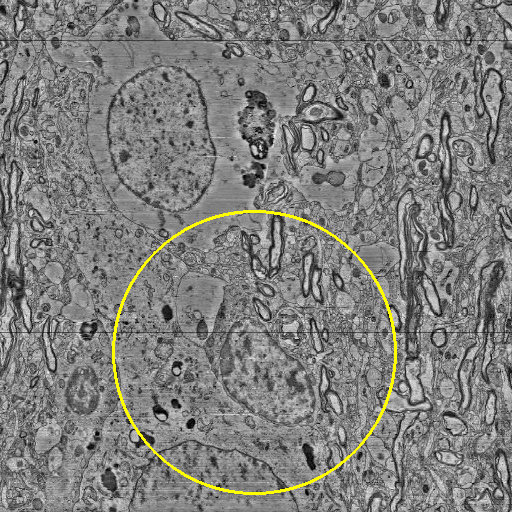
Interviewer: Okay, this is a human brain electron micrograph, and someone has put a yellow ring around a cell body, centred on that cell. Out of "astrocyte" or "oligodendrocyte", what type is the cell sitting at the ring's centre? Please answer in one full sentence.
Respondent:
The cell at the centre of the yellow ring in this picture is an oligodendrocyte.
